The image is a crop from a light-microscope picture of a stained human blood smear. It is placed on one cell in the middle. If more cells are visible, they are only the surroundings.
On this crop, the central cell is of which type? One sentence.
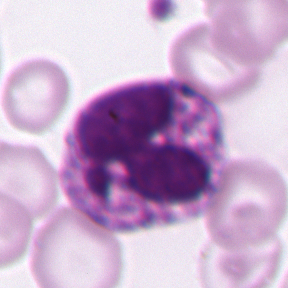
The middle position in this crop is taken by a basophil.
